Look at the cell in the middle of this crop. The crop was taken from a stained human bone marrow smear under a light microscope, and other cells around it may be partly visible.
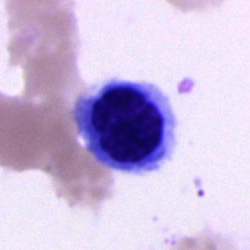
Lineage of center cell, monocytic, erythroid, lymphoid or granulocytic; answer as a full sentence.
The middle cell is a constituent of the erythroid lineage.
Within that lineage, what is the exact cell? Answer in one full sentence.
The crop centres on a single cell, and that cell is an erythroblast.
